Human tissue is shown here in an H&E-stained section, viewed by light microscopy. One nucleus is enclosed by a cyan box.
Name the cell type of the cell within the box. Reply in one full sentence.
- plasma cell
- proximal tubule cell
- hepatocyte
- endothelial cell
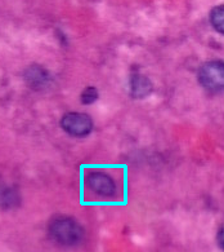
Cell type answer for this item: the cell within the box is a hepatocyte.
